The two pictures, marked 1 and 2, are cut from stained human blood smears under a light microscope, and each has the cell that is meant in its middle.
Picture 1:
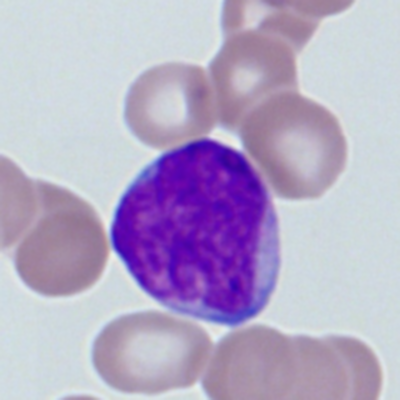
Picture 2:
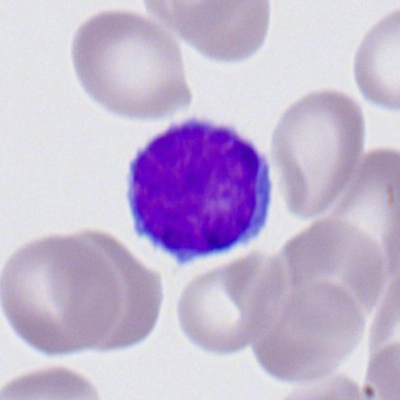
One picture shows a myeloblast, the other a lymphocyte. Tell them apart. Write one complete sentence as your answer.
Picture 1 is of a myeloblast, and picture 2 is of a lymphocyte.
